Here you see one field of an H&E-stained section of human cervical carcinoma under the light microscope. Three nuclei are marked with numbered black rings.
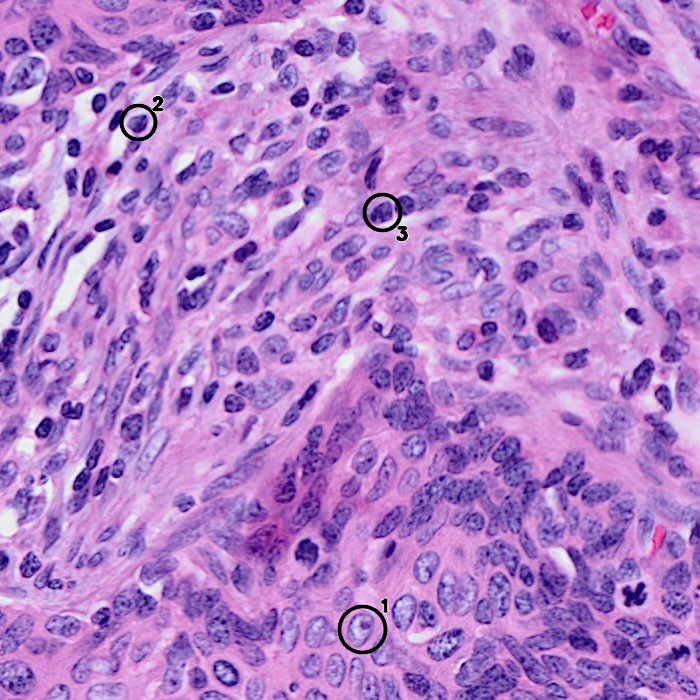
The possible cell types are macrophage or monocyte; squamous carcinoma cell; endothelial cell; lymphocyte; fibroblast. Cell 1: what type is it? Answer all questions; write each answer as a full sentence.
The cell carrying label 1 is identified as a squamous carcinoma cell.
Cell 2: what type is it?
The nucleus labeled 2 belongs to a lymphocyte.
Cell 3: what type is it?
The cell marked with number 3 is a lymphocyte.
